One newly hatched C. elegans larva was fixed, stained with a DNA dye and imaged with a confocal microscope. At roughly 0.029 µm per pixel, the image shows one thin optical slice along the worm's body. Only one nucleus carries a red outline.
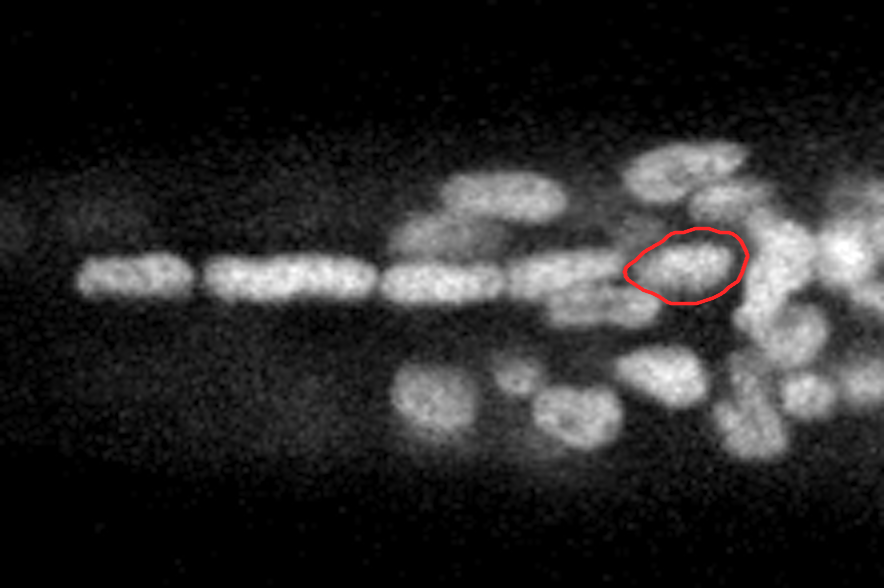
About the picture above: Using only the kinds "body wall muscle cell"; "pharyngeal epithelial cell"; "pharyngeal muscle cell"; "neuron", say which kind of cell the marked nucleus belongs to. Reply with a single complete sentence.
The cell with the marked nucleus is a neuron.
